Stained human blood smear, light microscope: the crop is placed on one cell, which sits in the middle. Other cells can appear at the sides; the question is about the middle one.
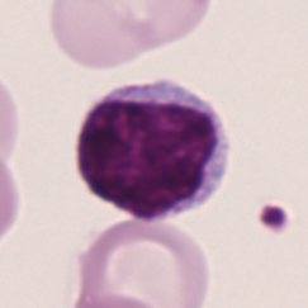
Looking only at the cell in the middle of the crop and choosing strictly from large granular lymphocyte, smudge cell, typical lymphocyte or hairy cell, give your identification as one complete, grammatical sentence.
The centrally placed cell is classified as a typical lymphocyte.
